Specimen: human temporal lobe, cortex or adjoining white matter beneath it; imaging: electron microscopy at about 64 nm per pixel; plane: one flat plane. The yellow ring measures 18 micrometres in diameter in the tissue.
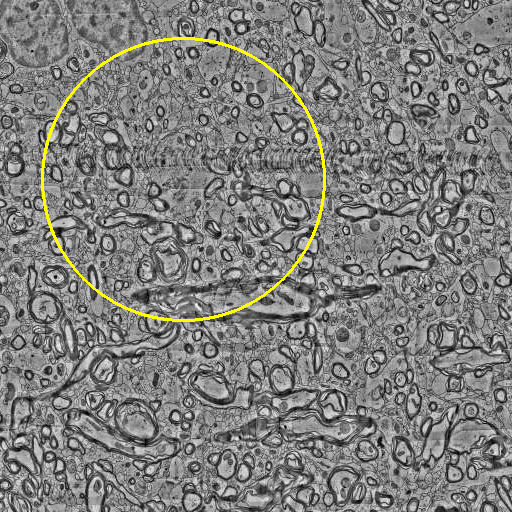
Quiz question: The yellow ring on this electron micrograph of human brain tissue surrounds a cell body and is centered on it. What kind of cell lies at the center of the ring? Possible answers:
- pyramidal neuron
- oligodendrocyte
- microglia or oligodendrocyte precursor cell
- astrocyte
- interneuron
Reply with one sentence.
The ring's center lies on an oligodendrocyte.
